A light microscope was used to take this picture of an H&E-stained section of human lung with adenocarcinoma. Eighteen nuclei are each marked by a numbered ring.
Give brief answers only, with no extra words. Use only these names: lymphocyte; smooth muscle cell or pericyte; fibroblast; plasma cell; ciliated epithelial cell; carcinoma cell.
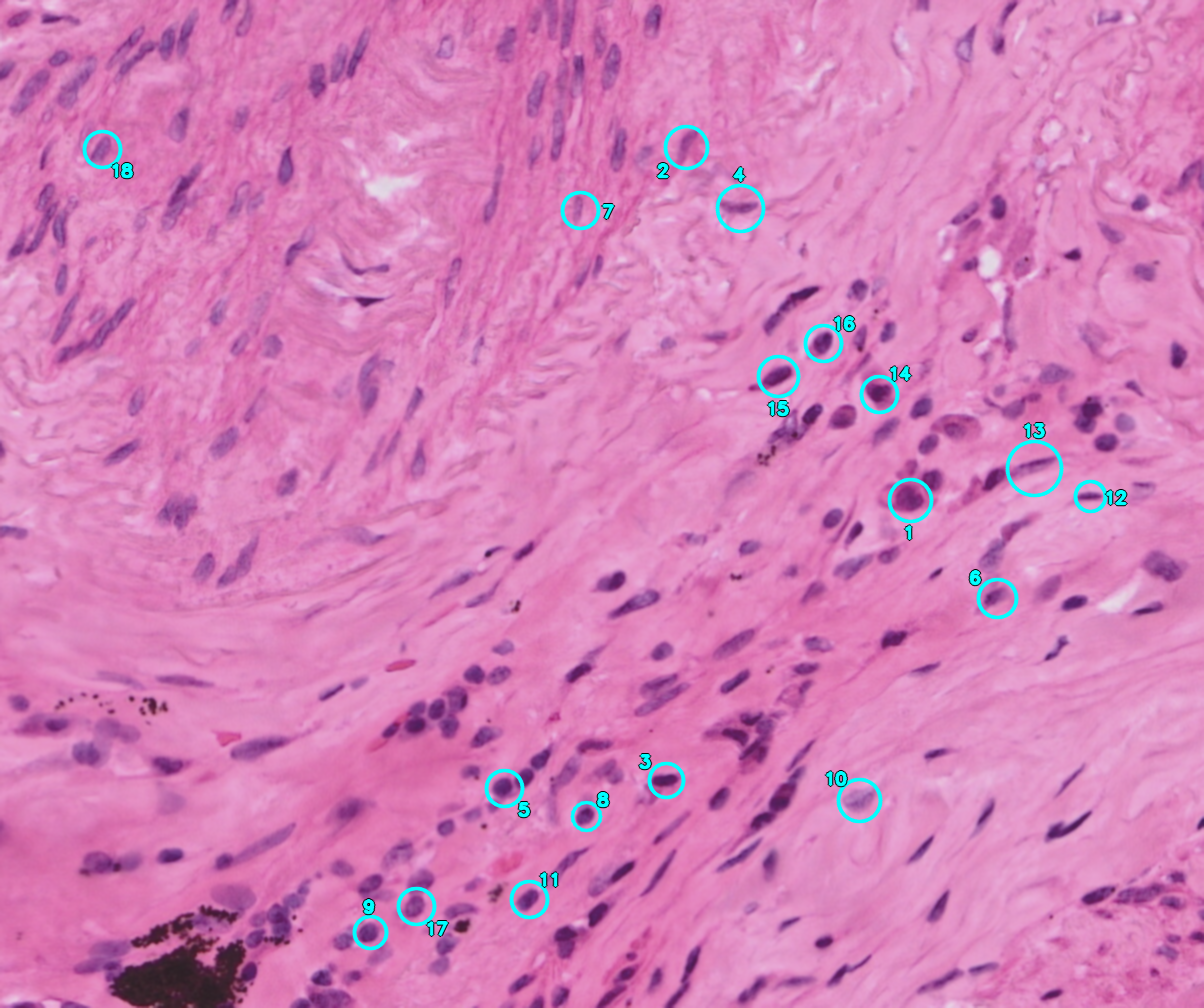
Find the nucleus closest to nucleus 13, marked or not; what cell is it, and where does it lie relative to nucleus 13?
a plasma cell; to the left of nucleus 13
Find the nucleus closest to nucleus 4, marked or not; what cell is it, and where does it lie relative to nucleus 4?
a smooth muscle cell or pericyte above and to the left of nucleus 4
